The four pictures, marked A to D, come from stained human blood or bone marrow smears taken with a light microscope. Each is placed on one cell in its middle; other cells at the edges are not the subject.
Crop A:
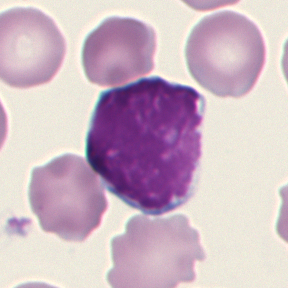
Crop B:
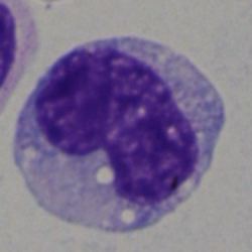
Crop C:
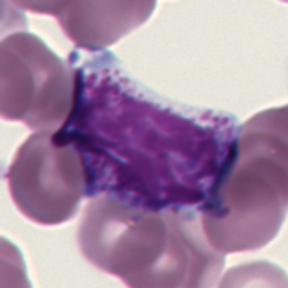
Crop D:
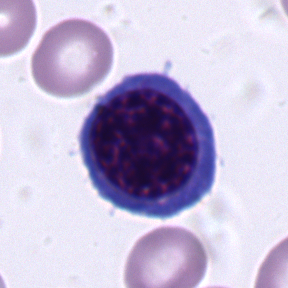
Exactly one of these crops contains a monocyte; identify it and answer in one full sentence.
Among all the crops given here, the one with a monocyte is crop B.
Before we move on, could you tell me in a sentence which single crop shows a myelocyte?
Of the labelled crops, the one that shows a myelocyte is crop C.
